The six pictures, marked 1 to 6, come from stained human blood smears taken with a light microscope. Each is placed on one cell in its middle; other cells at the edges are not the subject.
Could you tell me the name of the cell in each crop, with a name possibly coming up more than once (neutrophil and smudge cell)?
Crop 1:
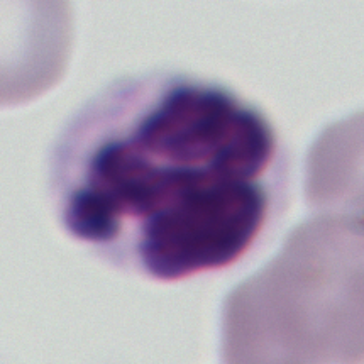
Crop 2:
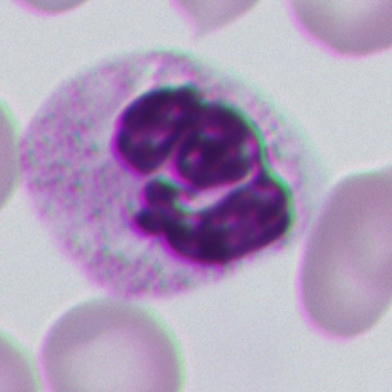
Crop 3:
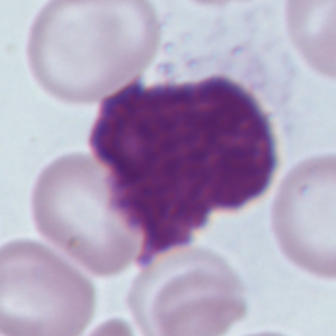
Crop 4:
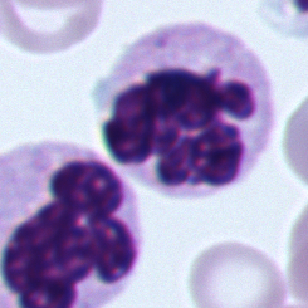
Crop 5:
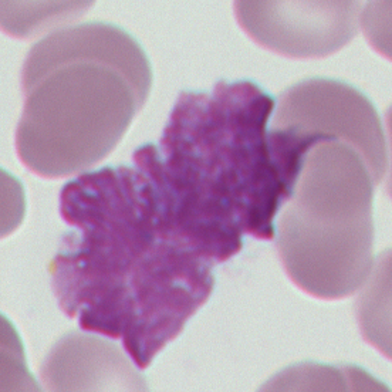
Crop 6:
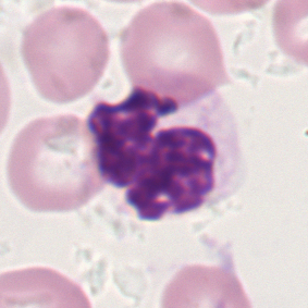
1: neutrophil
2: neutrophil
3: smudge cell
4: neutrophil
5: smudge cell
6: neutrophil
